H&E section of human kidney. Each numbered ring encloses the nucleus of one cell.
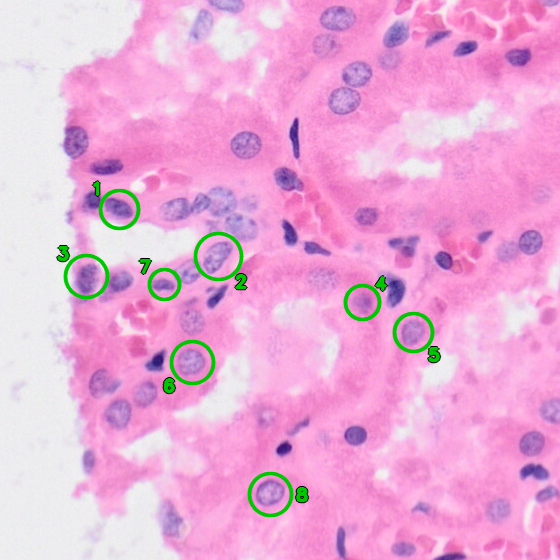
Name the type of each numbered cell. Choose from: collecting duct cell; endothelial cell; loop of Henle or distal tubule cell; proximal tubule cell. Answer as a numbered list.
1. collecting duct cell
2. collecting duct cell
3. collecting duct cell
4. proximal tubule cell
5. proximal tubule cell
6. proximal tubule cell
7. collecting duct cell
8. proximal tubule cell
